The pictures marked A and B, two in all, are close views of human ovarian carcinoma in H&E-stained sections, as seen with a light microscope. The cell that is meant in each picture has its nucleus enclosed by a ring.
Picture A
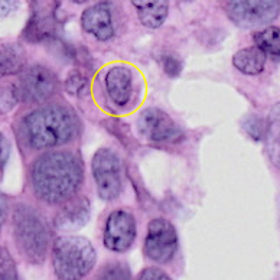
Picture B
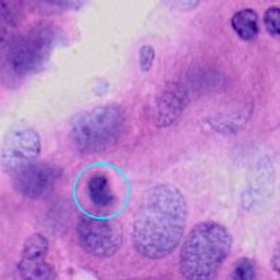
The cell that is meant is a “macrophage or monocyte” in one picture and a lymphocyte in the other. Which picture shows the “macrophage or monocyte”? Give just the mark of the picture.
A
